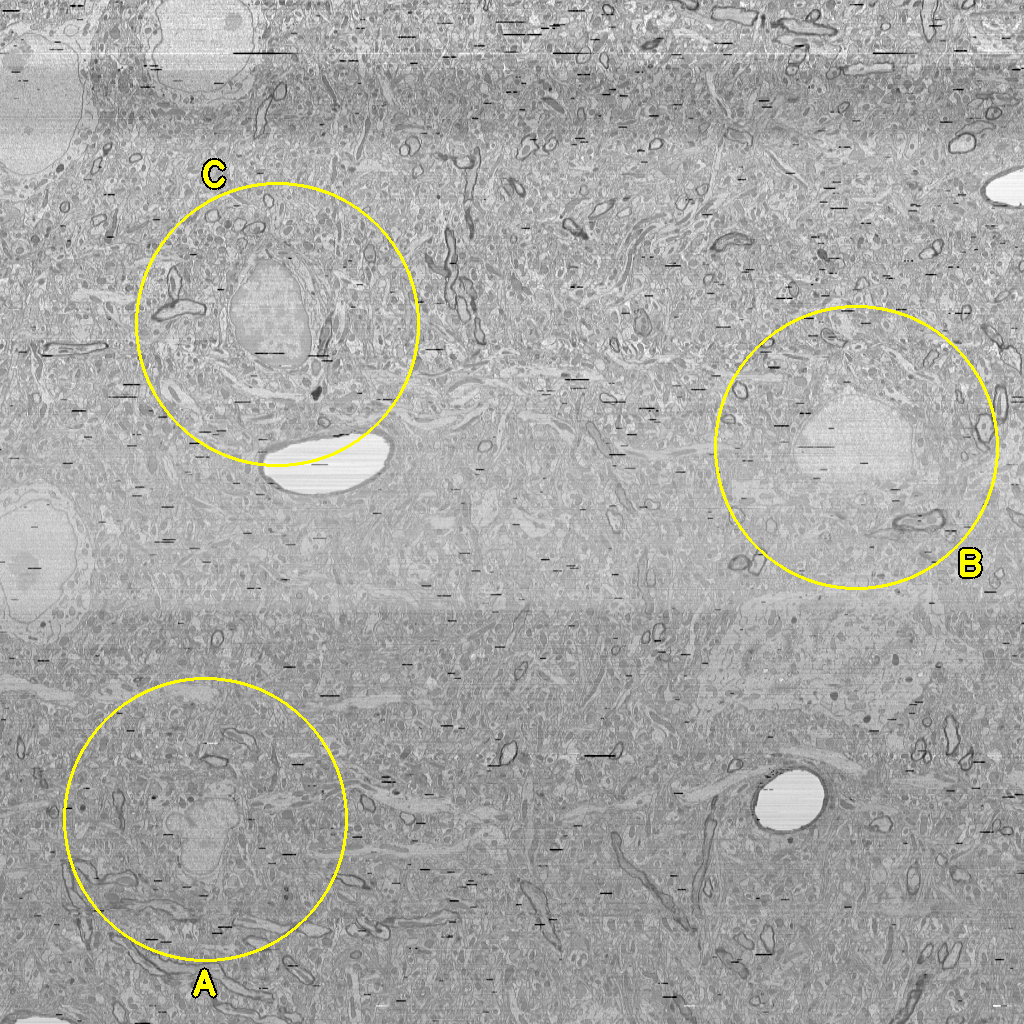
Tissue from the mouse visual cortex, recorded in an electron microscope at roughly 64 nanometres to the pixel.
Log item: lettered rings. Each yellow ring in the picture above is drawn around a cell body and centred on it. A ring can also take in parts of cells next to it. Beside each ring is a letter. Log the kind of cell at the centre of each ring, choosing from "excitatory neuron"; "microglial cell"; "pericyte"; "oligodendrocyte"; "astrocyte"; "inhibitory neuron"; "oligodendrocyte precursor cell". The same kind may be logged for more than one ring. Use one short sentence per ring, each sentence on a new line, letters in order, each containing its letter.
Within ring A, the centre is taken by an oligodendrocyte precursor cell.
Within ring B, the centre is taken by an astrocyte.
Within ring C, the centre is taken by a microglial cell.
